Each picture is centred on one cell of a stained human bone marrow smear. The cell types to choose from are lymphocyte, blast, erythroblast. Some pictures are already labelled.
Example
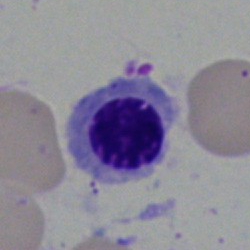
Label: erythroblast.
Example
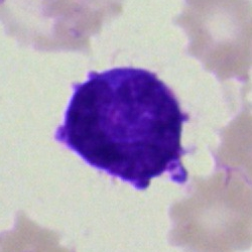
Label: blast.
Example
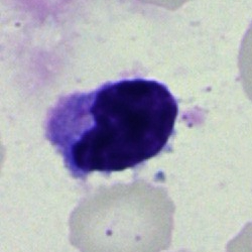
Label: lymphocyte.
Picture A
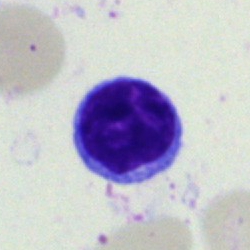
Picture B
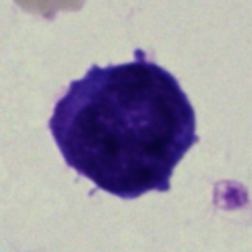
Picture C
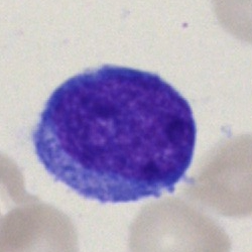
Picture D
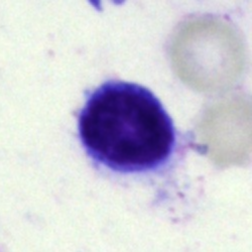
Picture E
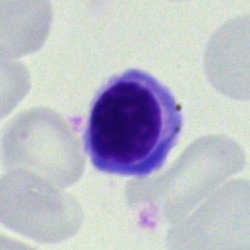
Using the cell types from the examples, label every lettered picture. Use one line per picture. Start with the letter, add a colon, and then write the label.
A: lymphocyte.
B: blast.
C: blast.
D: lymphocyte.
E: erythroblast.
